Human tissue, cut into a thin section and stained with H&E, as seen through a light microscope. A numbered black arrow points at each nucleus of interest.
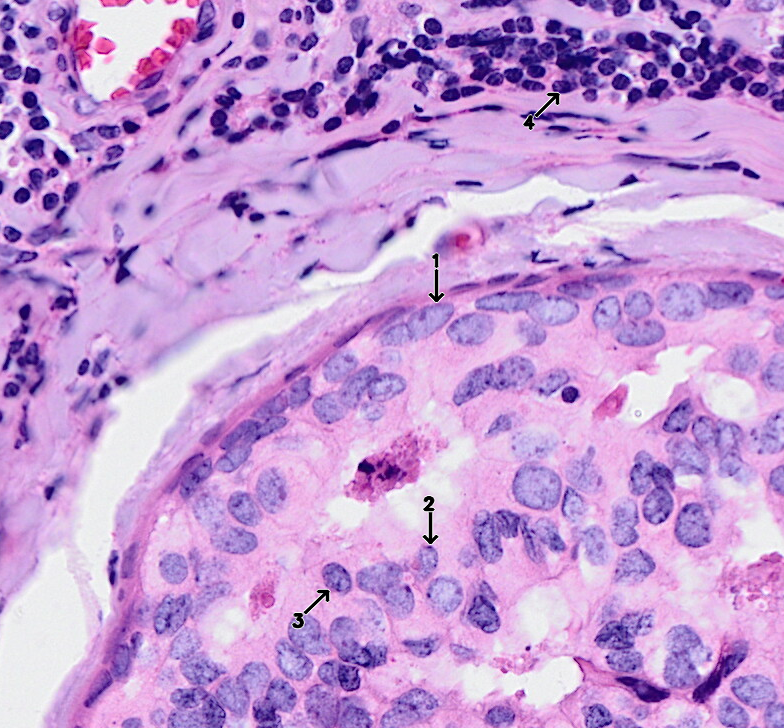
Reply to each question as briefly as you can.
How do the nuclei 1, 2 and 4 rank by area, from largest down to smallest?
1, 2, 4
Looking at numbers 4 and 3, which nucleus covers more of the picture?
3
